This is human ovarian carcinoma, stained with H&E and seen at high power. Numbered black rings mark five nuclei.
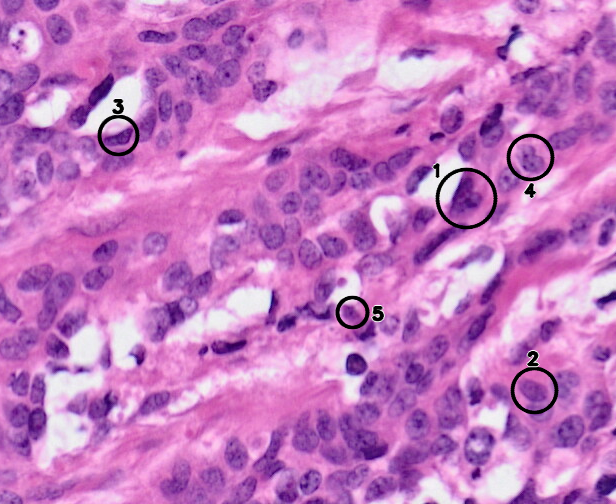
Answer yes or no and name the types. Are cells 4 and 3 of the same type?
No, cell 4 is a macrophage or monocyte and cell 3 is a carcinoma cell.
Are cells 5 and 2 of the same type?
No, cell 5 is a macrophage or monocyte and cell 2 is a carcinoma cell.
